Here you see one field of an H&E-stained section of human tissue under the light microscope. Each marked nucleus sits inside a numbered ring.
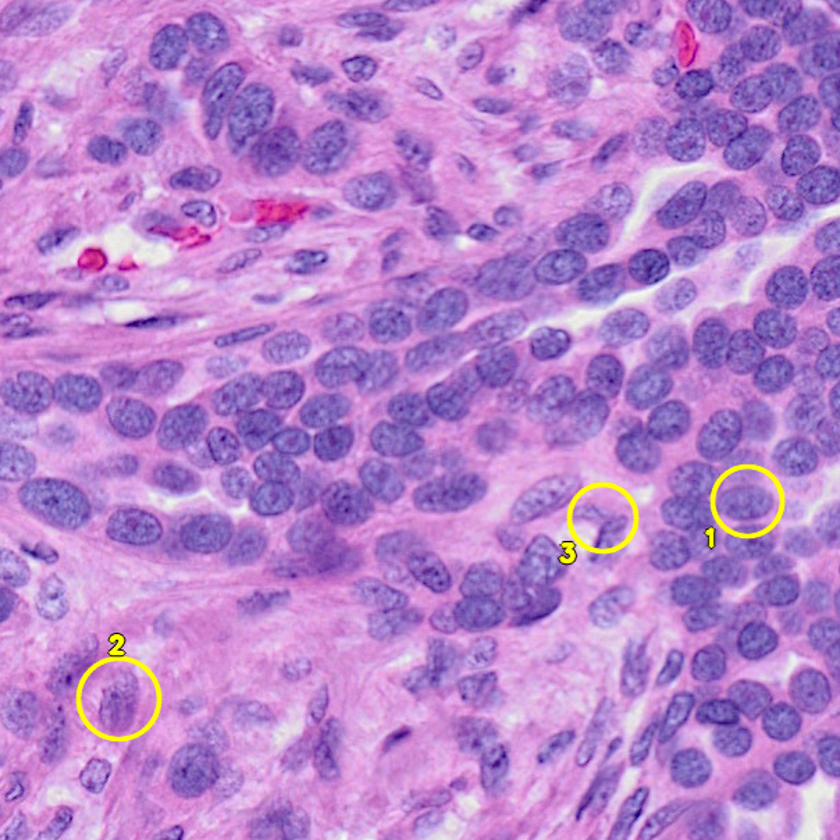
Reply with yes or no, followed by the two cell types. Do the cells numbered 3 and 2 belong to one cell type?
Yes, cells 3 and 2 both belong among the fibroblasts.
